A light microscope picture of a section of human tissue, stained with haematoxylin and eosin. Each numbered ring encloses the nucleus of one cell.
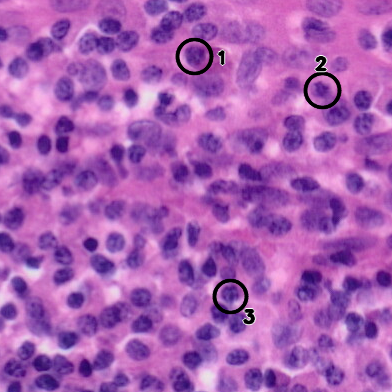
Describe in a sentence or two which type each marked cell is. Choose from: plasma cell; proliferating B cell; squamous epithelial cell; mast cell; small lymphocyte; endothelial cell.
Cells 1 and 3 are plasma cells. Cell 2 is a squamous epithelial cell.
